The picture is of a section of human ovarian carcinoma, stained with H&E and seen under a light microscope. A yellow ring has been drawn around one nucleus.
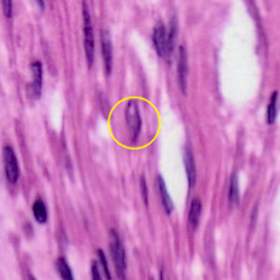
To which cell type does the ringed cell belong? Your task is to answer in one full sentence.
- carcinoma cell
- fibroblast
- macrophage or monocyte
The identity of the ringed cell is that of a fibroblast.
